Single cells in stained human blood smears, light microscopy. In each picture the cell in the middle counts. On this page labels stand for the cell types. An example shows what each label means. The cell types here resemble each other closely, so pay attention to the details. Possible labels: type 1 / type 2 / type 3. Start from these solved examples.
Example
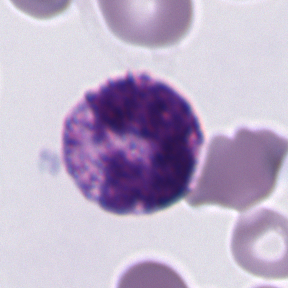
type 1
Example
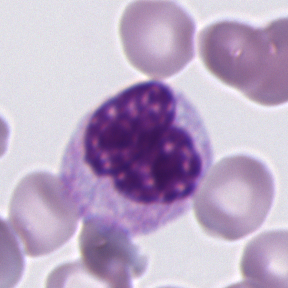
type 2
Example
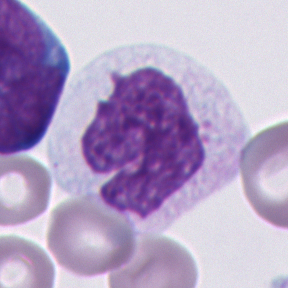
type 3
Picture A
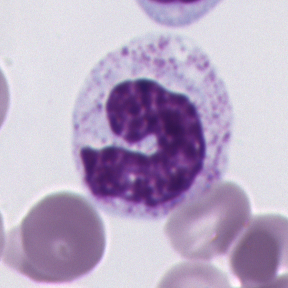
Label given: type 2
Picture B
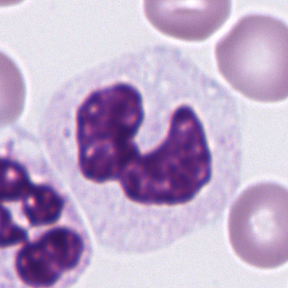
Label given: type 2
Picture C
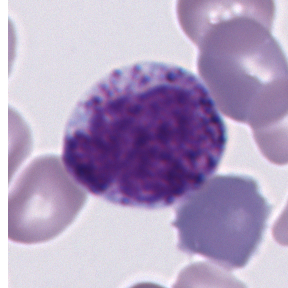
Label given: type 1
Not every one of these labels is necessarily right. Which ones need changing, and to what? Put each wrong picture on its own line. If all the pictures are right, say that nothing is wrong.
A: not type 2 but type 3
